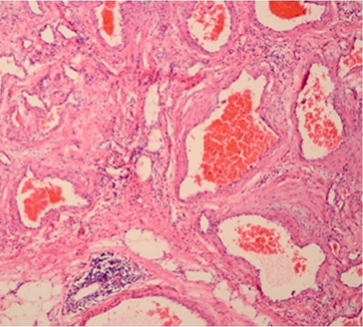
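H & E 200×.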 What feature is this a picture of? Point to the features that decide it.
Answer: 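Many wide, irregular channels are scattered through pink fibrous tissue. Most channels contain red-orange packed red cells. The channels are lined by a thin flat cell layer.
Answer: dilated vessels with endothelial cells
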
